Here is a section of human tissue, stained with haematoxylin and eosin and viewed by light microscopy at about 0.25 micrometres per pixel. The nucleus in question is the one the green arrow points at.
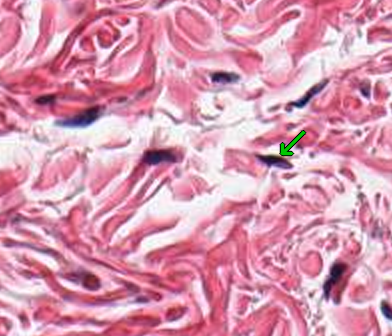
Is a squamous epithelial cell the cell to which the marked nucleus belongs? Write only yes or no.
no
